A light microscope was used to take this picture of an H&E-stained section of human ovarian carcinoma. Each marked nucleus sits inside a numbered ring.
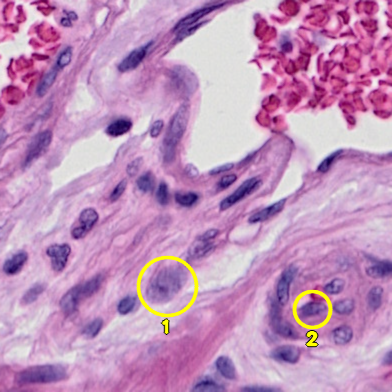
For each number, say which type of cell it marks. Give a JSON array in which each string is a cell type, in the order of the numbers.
["fibroblast", "endothelial cell"]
